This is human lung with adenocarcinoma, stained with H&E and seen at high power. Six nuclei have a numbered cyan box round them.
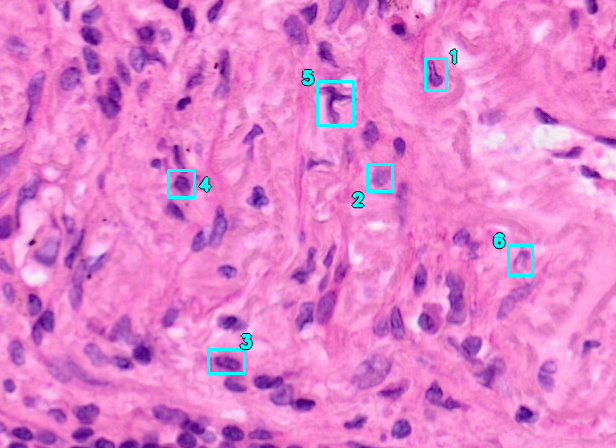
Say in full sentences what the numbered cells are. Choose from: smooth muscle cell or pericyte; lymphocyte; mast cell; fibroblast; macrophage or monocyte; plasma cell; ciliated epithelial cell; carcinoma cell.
Cell 1 is a smooth muscle cell or pericyte, cell 2 is a smooth muscle cell or pericyte, cell 3 is a plasma cell, cell 4 is a plasma cell, cell 5 is a fibroblast and cell 6 is a smooth muscle cell or pericyte.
